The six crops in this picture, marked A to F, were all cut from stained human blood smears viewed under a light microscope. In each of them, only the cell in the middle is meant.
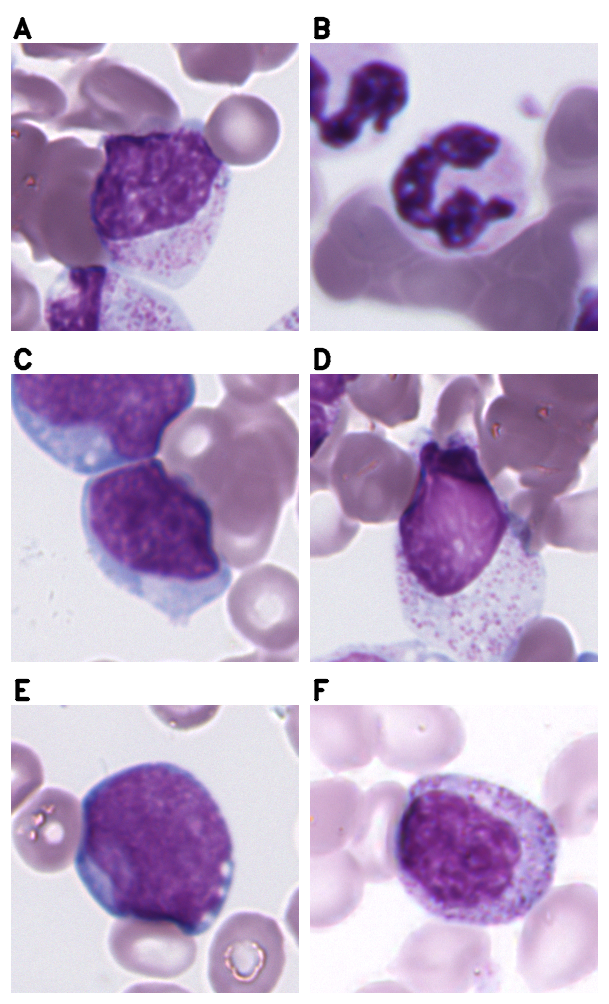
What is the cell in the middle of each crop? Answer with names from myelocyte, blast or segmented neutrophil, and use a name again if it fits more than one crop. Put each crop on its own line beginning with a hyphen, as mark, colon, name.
- A: myelocyte
- B: segmented neutrophil
- C: blast
- D: myelocyte
- E: blast
- F: myelocyte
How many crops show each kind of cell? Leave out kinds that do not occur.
myelocyte: 3
blast: 2
segmented neutrophil: 1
